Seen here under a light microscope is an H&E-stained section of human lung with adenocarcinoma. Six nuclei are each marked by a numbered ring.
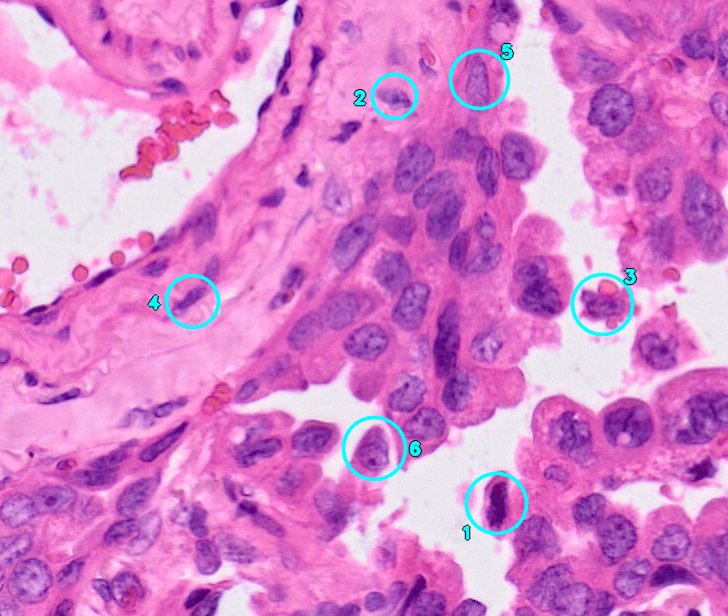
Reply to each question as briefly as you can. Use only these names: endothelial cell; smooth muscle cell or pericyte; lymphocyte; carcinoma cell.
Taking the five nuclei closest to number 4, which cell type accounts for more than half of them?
endothelial cell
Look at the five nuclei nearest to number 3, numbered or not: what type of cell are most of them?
carcinoma cell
